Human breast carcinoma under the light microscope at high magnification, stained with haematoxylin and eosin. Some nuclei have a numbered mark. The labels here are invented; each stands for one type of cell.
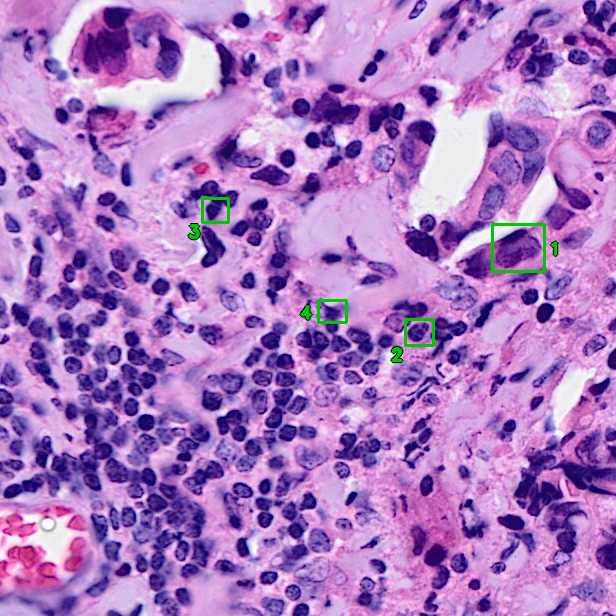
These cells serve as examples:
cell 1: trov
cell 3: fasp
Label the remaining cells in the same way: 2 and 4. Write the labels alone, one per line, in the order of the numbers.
fasp
fasp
